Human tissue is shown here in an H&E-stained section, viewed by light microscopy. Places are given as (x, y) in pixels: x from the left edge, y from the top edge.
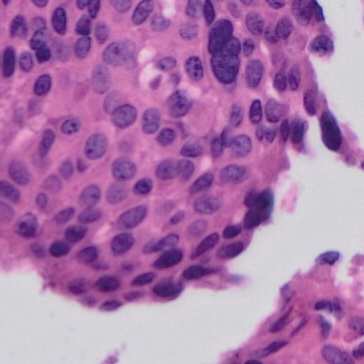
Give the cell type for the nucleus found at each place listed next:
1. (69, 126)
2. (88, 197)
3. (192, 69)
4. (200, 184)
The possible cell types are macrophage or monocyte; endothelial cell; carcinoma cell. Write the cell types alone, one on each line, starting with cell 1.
macrophage or monocyte
carcinoma cell
macrophage or monocyte
carcinoma cell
